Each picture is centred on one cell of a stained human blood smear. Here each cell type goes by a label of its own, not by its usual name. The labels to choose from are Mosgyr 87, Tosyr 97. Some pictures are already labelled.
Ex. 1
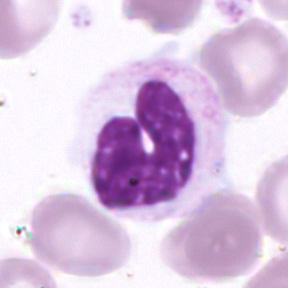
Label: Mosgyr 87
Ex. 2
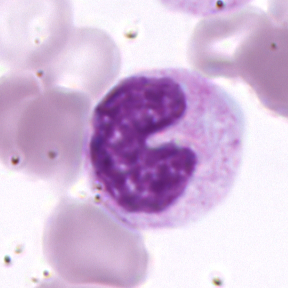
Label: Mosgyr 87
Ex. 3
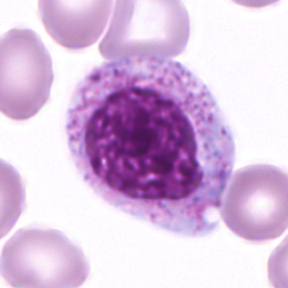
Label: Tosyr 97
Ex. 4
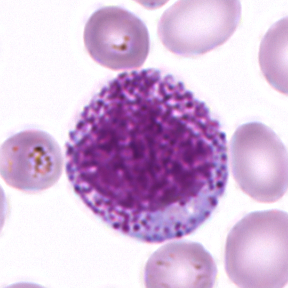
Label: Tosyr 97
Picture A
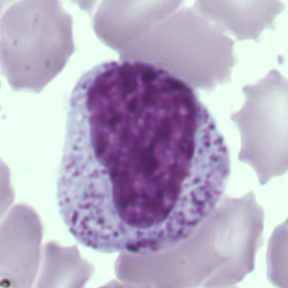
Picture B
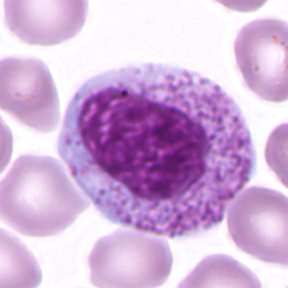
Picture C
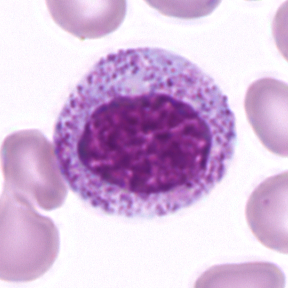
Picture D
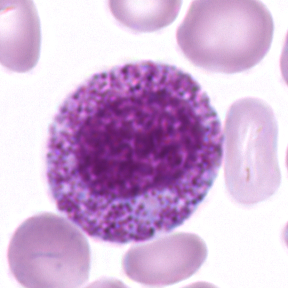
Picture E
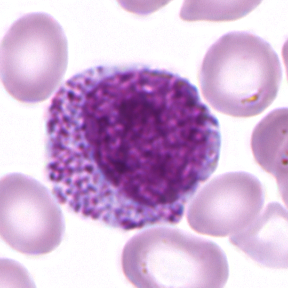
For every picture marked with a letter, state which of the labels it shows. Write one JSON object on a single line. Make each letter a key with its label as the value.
{"A": "Tosyr 97", "B": "Tosyr 97", "C": "Tosyr 97", "D": "Tosyr 97", "E": "Tosyr 97"}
